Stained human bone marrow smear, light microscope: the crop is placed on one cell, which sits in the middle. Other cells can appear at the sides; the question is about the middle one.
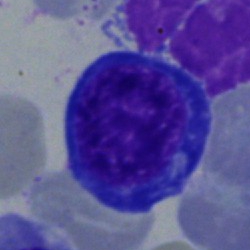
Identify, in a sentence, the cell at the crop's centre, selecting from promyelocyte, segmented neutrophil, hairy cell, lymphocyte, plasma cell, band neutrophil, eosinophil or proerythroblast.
The cell at the middle of the frame should be recorded as a proerythroblast.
